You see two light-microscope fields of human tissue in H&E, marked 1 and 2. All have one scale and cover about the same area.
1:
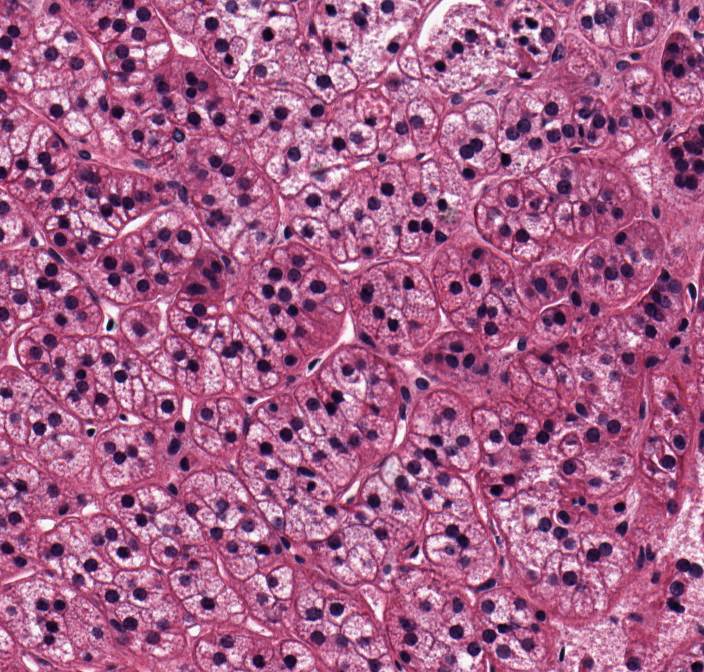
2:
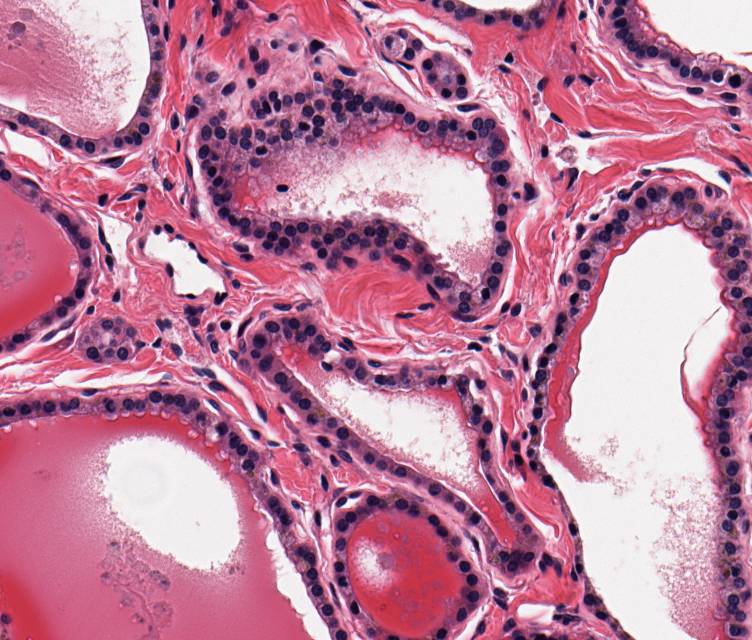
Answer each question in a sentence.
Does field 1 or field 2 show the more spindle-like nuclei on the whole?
Longer, more slender nuclei lie in field 2.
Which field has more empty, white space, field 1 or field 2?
Field 2 has more white space.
